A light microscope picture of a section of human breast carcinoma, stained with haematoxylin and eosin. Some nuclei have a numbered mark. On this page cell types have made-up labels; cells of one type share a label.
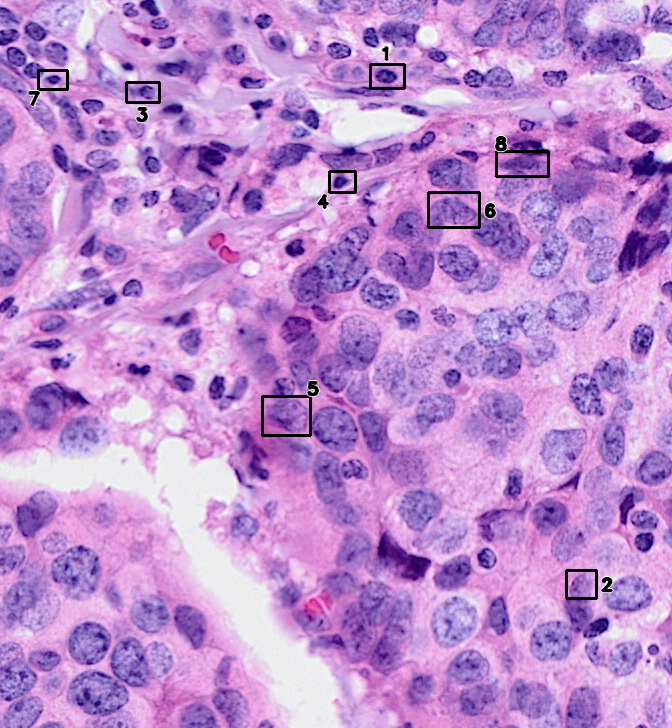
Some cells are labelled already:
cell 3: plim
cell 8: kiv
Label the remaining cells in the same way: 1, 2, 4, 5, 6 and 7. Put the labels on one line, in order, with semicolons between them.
plim; kiv; plim; kiv; kiv; plim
